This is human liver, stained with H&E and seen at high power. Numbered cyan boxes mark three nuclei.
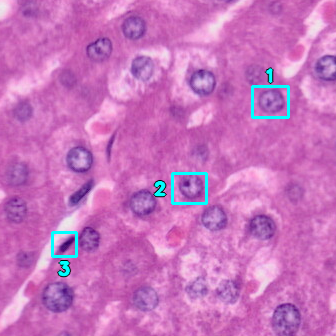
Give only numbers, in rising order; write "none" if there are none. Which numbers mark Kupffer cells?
3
